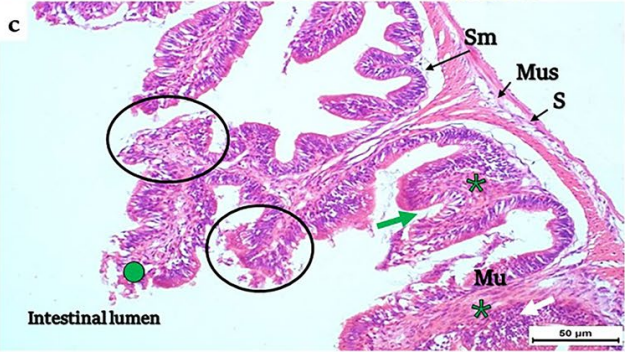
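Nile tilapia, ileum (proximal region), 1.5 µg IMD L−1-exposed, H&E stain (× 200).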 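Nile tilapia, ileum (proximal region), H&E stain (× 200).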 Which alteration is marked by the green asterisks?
Mononuclear inflammation.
